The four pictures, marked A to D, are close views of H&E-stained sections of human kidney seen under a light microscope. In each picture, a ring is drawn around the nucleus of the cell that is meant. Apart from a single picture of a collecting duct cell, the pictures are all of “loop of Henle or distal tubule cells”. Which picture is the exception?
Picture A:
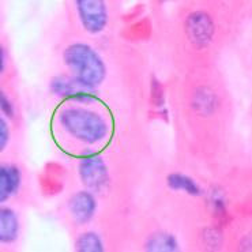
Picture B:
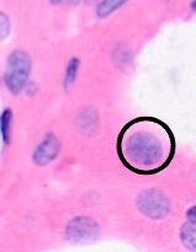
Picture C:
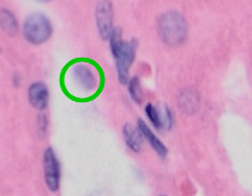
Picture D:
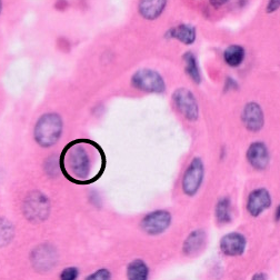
A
